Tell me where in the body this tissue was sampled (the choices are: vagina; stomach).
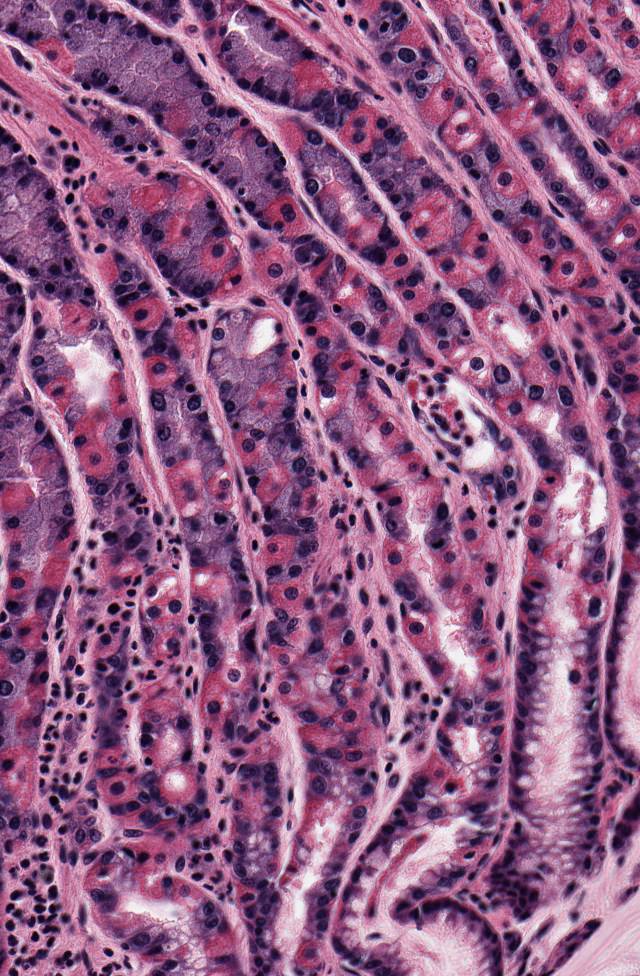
stomach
